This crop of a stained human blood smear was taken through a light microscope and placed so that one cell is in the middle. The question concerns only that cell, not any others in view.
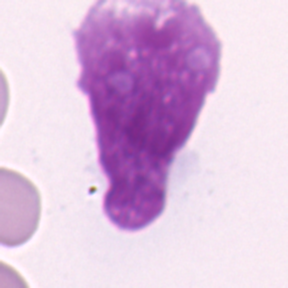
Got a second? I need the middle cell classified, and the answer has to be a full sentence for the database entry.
Of the cells in this crop, the central one is a smudge cell.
